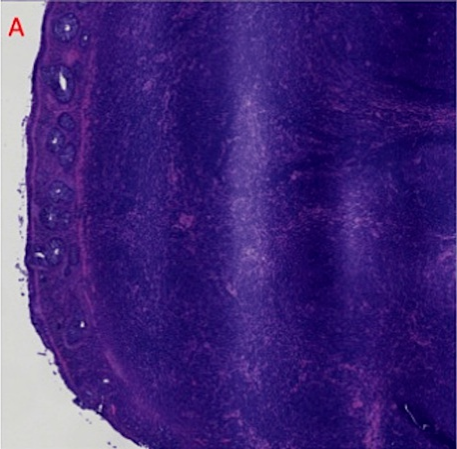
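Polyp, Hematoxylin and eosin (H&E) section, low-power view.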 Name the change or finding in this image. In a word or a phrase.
dense lymphoid infiltrate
